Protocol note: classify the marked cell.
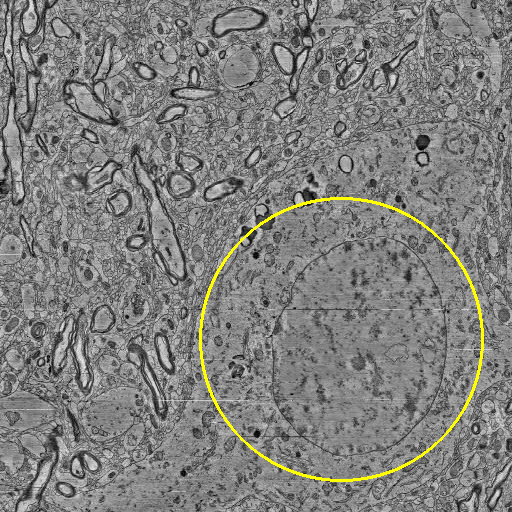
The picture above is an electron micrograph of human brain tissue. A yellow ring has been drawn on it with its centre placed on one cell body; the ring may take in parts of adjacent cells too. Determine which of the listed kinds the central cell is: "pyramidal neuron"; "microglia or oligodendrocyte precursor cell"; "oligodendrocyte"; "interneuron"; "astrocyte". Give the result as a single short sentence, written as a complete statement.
The central cell is a pyramidal neuron.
